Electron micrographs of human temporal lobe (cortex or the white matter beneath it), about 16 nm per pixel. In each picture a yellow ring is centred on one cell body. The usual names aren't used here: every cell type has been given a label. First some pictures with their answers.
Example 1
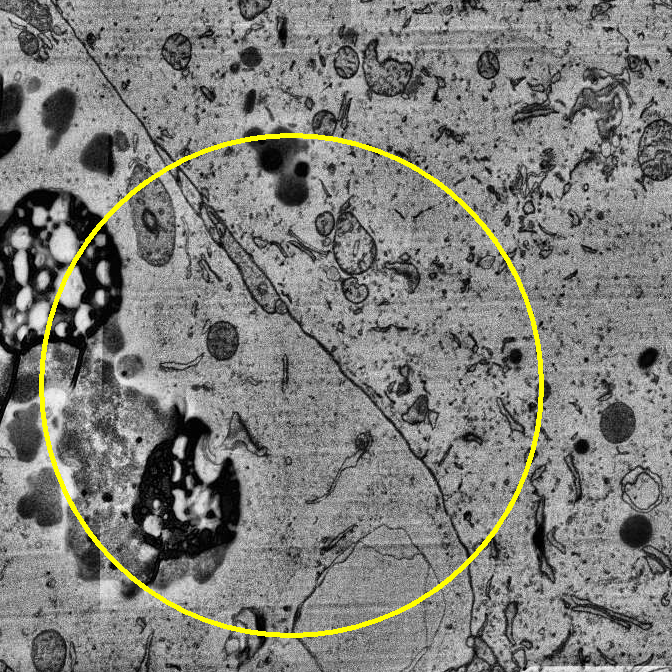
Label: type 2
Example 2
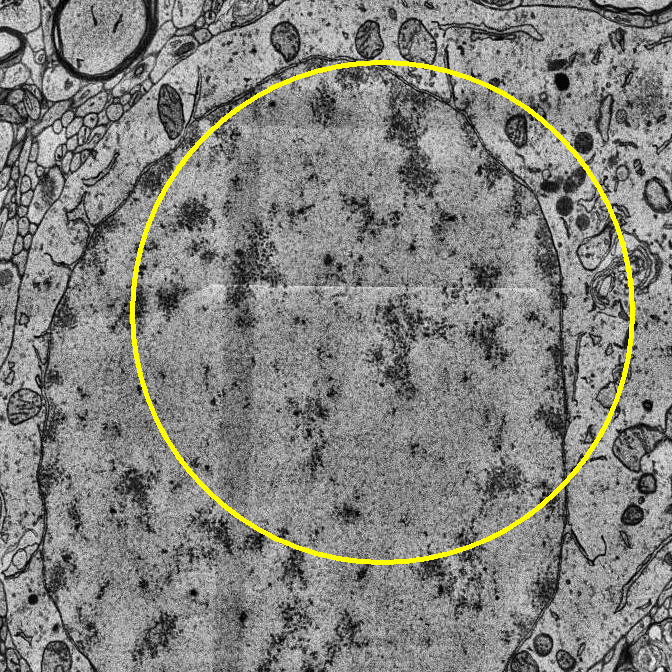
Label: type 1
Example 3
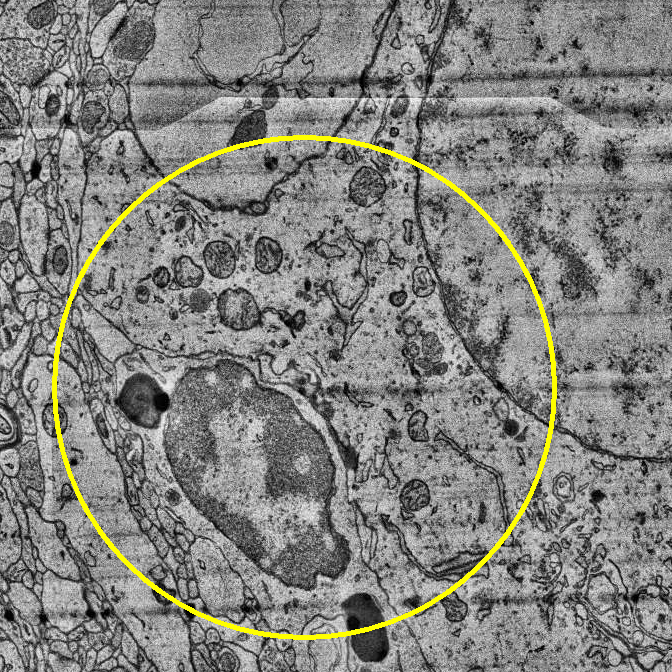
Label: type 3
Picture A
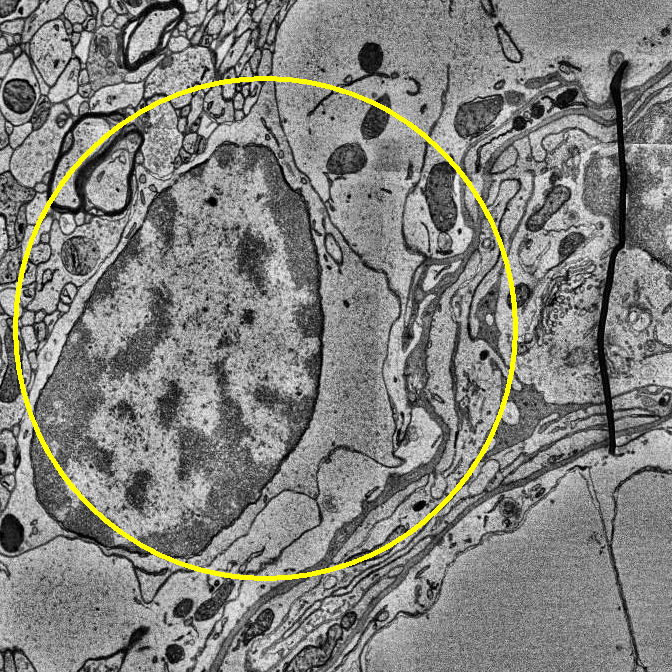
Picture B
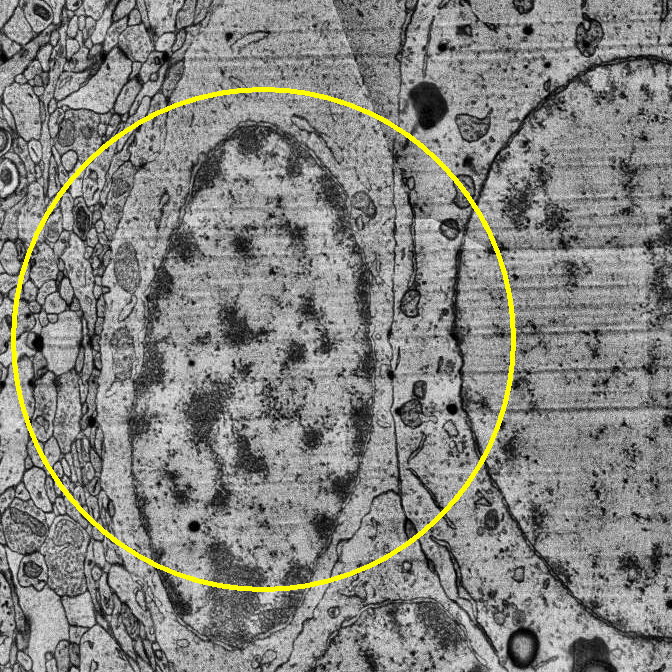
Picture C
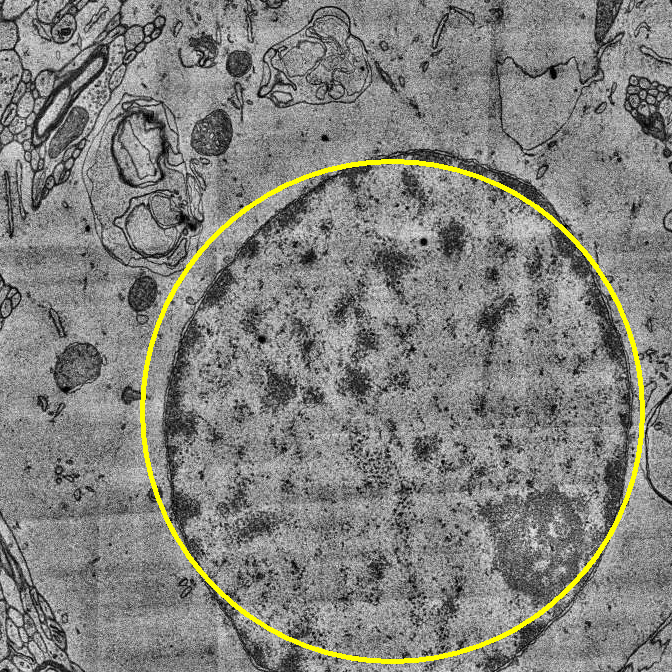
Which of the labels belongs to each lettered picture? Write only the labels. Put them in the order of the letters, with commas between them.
type 3, type 3, type 2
